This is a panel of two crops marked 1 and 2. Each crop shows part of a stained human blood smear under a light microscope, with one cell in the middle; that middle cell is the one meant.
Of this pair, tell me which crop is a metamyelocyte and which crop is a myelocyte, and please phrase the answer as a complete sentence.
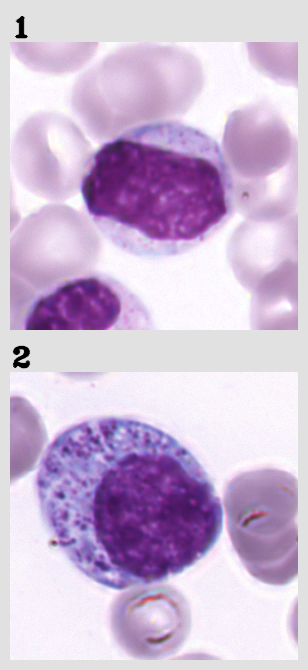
Crop 1 contains a metamyelocyte, and crop 2, a myelocyte.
